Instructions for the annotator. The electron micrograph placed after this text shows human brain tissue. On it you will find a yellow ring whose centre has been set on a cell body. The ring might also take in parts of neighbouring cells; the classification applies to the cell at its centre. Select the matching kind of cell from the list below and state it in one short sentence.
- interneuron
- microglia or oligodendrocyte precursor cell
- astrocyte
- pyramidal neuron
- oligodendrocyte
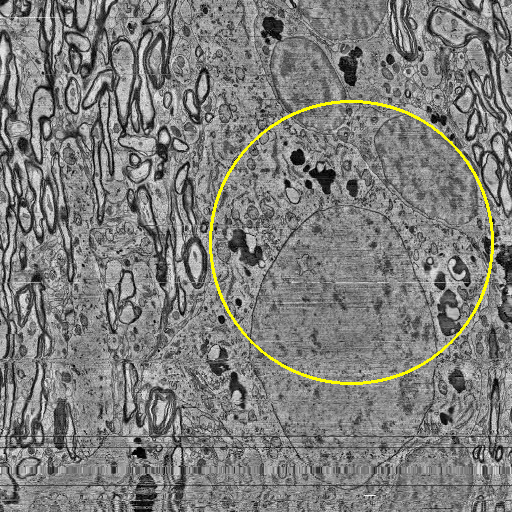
The ring is drawn on the cell body of a pyramidal neuron.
